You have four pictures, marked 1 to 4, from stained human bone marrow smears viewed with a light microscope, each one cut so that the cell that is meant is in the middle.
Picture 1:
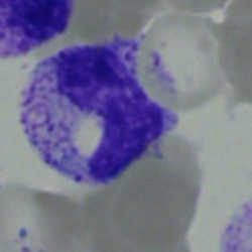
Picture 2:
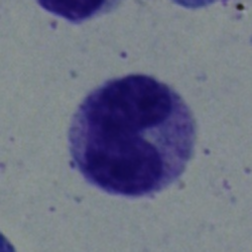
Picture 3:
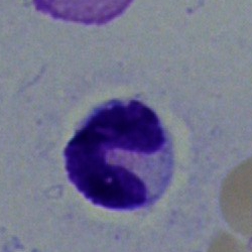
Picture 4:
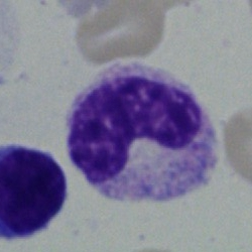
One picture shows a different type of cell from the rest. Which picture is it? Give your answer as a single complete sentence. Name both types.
The others show band neutrophils, but picture 4 shows a metamyelocyte.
